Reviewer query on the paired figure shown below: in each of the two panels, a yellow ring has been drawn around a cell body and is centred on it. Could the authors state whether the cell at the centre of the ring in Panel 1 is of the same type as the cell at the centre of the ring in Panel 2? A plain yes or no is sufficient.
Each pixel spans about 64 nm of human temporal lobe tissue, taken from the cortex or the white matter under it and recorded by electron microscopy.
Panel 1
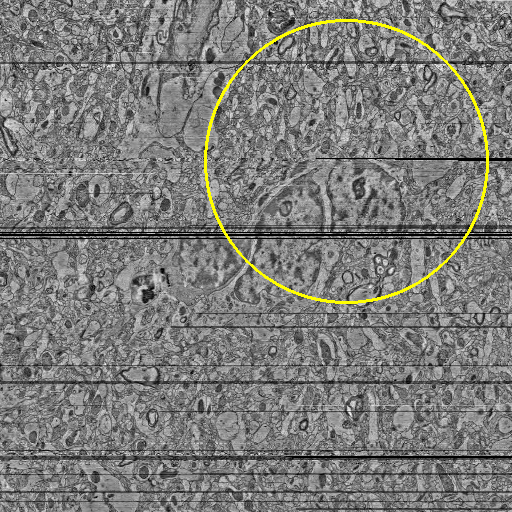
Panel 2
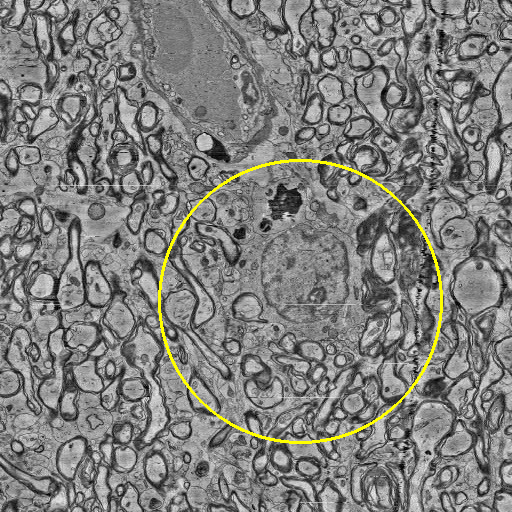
no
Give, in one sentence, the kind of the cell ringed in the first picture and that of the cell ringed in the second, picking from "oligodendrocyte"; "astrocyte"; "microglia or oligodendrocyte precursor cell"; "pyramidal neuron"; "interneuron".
For the first picture it is a microglial cell or oligodendrocyte precursor cell; for the second, an oligodendrocyte.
